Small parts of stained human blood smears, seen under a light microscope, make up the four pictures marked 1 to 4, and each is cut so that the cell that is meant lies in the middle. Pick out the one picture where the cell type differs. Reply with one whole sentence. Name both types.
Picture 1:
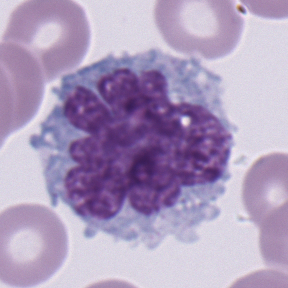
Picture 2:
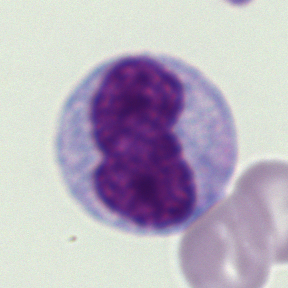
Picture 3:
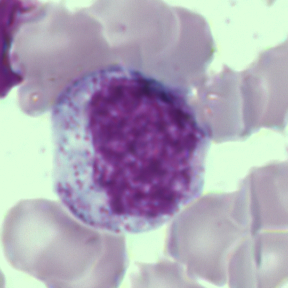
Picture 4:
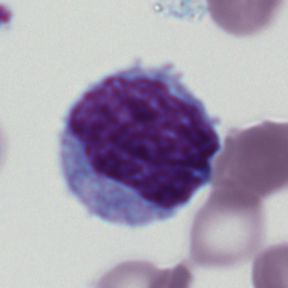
The different one is picture 3; it shows a myelocyte, whereas all the others show monocytes.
